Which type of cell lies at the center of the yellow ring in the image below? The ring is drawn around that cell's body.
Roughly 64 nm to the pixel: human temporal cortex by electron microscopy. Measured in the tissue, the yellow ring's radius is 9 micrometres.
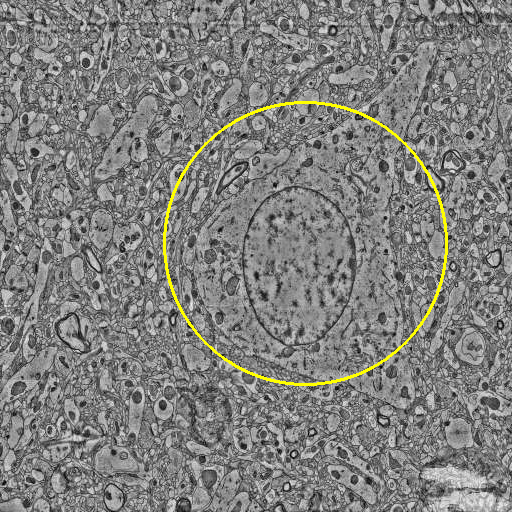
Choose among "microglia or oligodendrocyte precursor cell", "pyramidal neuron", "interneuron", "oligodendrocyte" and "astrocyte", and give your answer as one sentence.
The cell body at the center belongs to a pyramidal neuron.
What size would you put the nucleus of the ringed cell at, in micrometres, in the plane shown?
Roughly 10 micrometres by 7 micrometres, in this plane.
